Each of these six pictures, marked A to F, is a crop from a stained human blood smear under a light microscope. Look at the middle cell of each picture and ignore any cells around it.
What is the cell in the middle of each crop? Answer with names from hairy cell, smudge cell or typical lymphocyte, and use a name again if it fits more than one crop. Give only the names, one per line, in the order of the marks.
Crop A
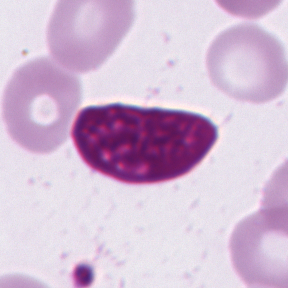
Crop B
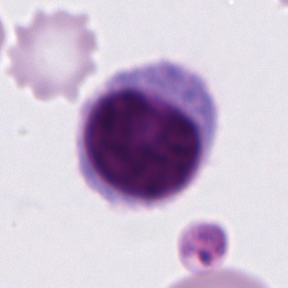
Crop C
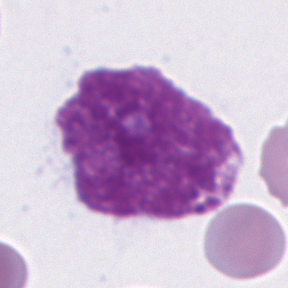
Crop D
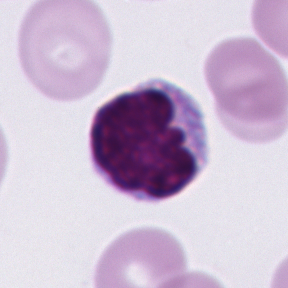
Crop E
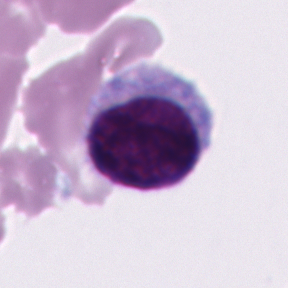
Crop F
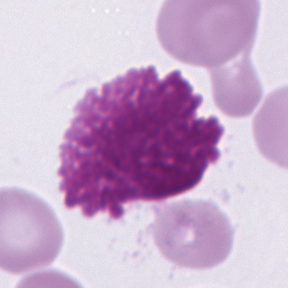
smudge cell
hairy cell
smudge cell
typical lymphocyte
hairy cell
smudge cell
